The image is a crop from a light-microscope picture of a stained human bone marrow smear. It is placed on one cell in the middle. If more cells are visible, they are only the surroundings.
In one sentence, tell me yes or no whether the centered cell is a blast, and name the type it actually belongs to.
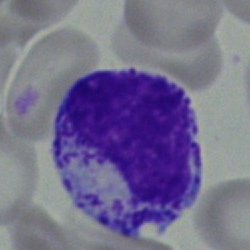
No, the central cell is identified not as a blast but as a myelocyte.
